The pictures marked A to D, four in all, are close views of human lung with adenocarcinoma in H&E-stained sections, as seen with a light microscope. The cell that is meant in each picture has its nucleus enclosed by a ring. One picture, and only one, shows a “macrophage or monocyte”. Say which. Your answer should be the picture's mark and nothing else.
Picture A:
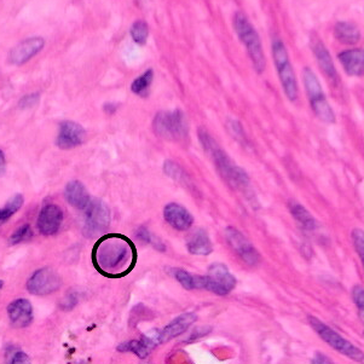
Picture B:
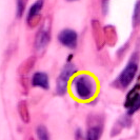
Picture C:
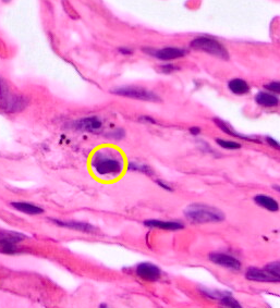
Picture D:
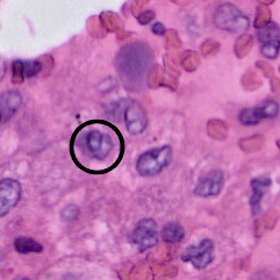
D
